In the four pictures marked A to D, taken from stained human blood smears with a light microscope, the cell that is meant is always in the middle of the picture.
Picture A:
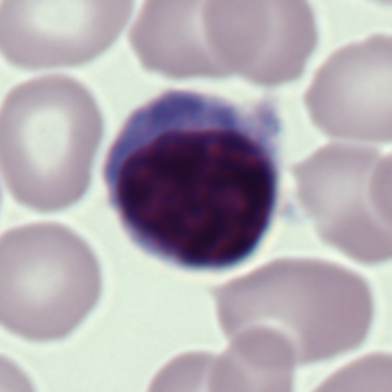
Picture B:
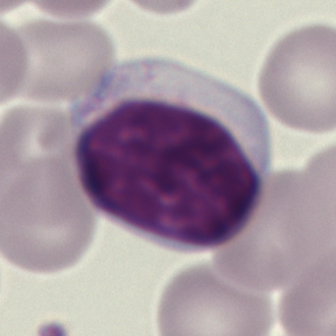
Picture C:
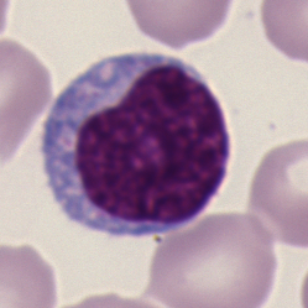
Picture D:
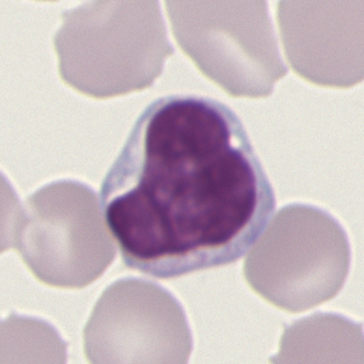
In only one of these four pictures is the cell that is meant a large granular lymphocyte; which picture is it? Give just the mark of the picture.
B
